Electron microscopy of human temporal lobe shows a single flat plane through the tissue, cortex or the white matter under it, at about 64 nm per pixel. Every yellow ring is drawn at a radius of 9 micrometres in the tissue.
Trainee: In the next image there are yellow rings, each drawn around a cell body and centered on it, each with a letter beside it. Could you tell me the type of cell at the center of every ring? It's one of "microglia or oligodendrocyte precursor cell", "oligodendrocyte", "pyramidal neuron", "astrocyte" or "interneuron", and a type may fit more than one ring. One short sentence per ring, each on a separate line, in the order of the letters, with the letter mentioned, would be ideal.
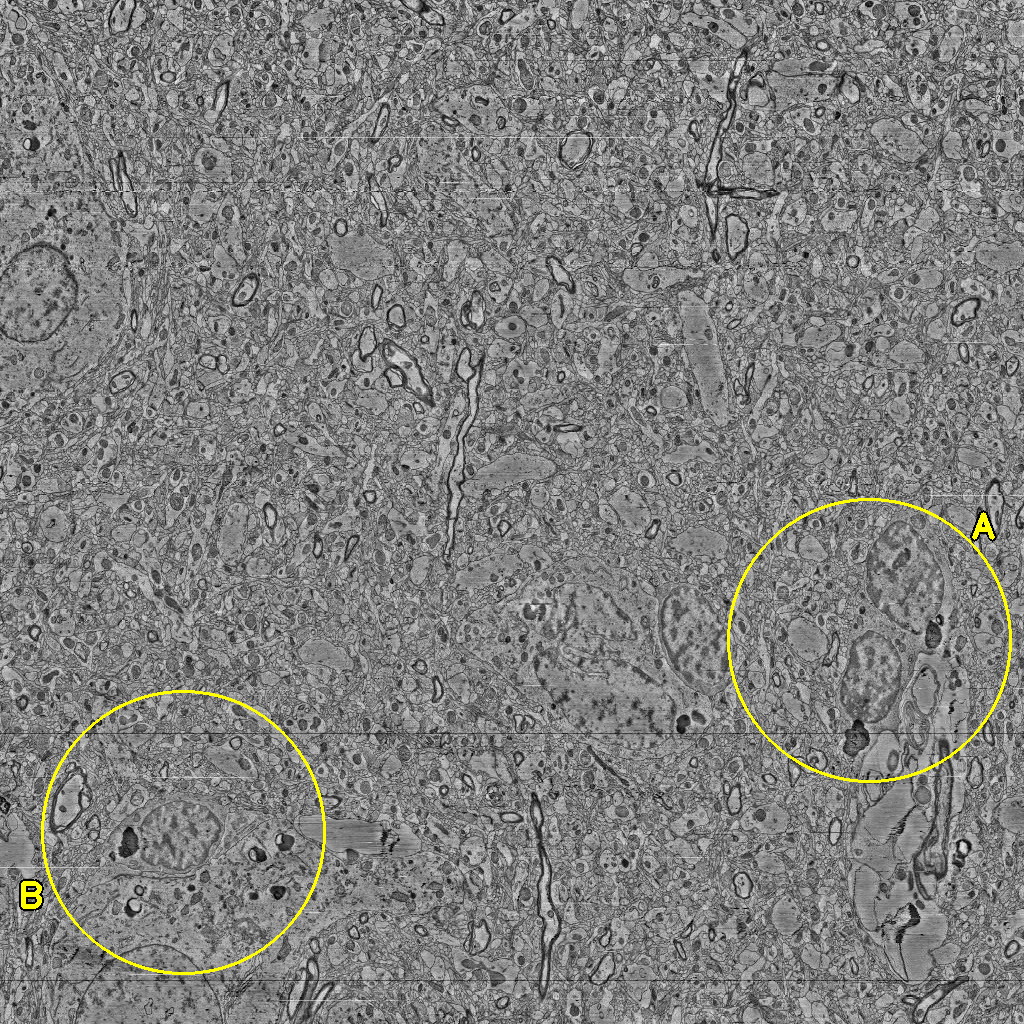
What ring A is centered on is an oligodendrocyte.
What ring B is centered on is an oligodendrocyte.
